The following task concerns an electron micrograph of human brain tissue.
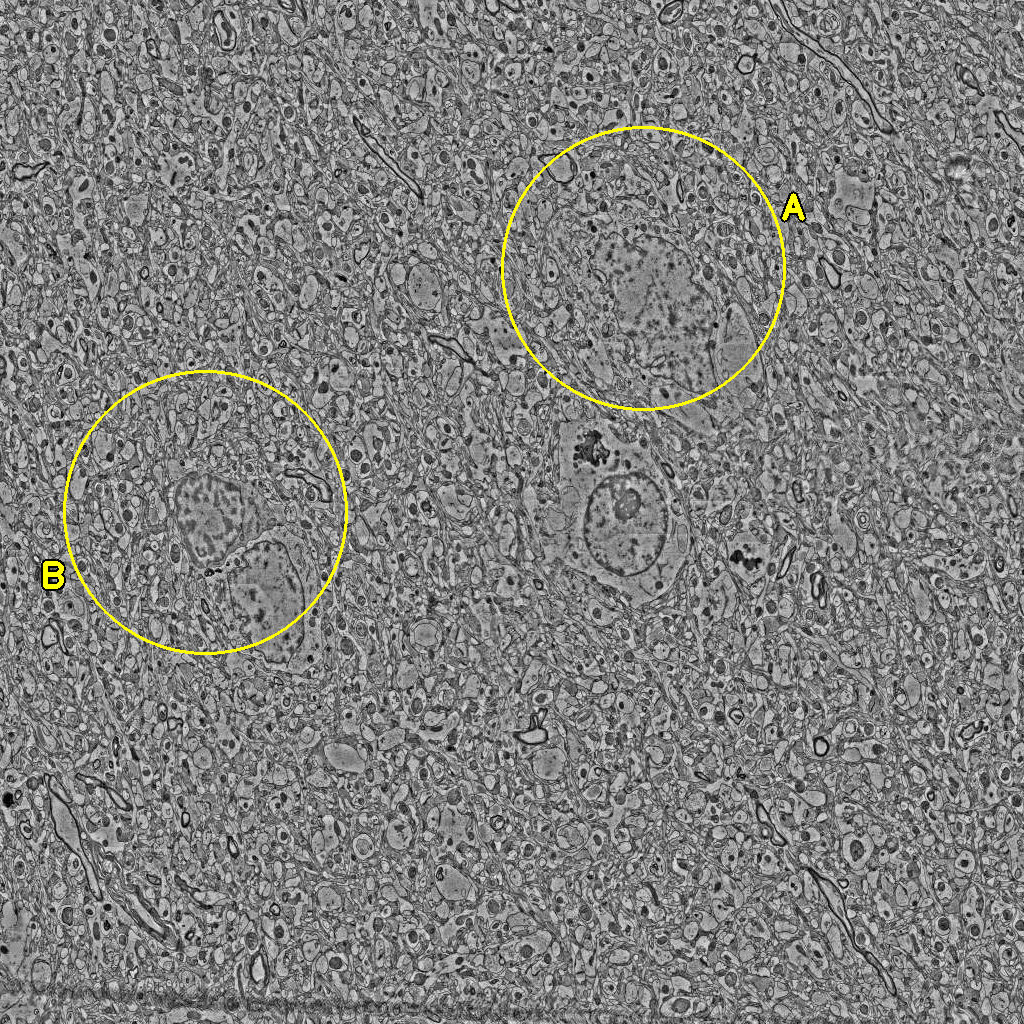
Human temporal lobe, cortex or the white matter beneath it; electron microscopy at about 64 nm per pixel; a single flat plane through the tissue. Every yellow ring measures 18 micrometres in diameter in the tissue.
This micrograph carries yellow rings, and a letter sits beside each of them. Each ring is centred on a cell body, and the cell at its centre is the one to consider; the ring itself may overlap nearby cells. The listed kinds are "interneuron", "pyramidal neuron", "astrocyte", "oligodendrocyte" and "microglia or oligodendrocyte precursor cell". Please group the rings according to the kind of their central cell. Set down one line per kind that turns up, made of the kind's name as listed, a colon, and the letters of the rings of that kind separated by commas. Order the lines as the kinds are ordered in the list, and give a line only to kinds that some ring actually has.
interneuron: A
oligodendrocyte: B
